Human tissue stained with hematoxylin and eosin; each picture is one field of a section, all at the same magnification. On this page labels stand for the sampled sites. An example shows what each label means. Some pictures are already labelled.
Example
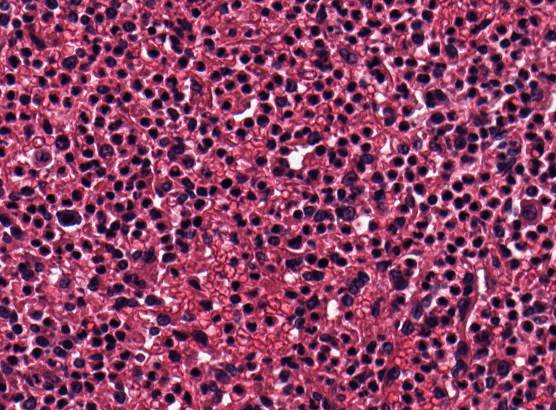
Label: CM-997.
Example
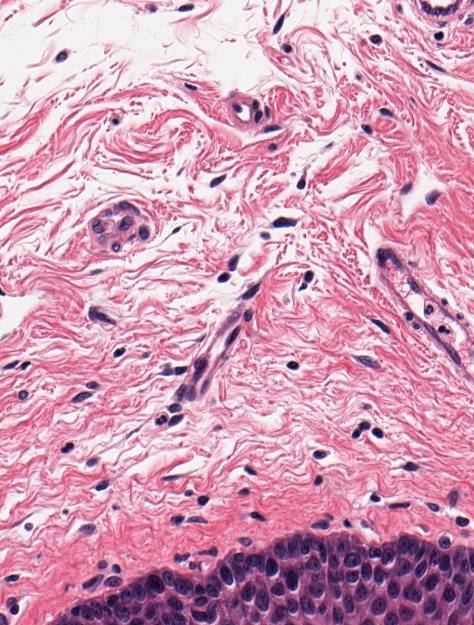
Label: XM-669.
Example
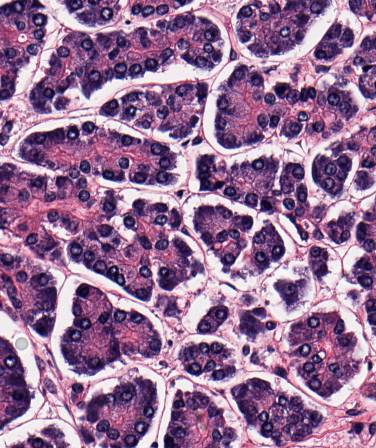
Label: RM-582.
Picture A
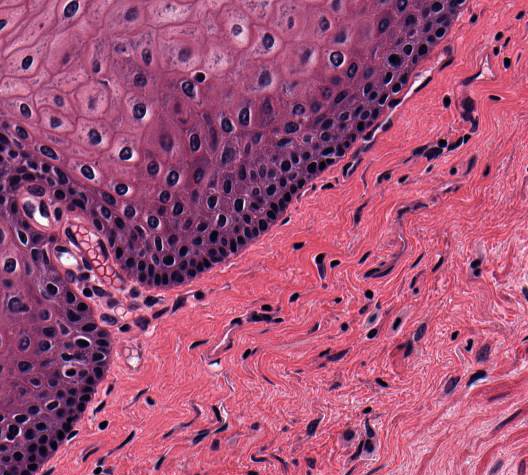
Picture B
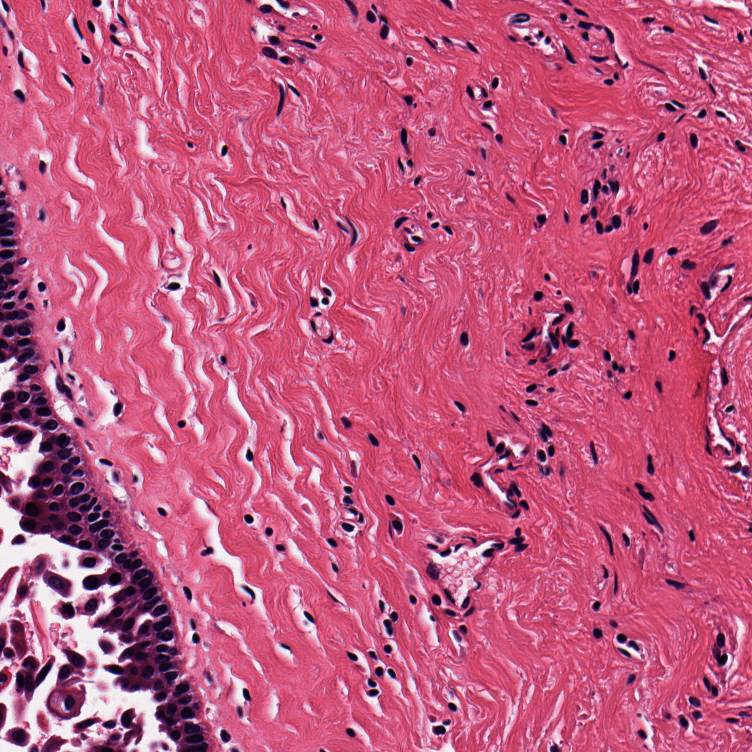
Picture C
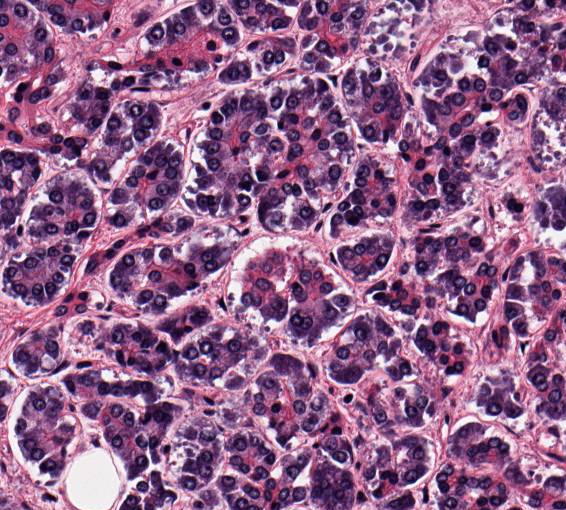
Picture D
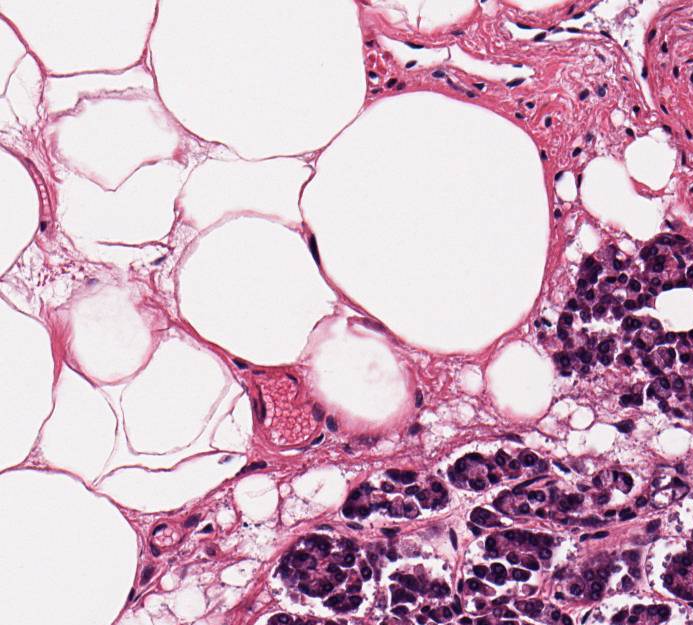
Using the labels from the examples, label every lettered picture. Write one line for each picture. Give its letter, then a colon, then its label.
A: XM-669.
B: XM-669.
C: RM-582.
D: RM-582.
